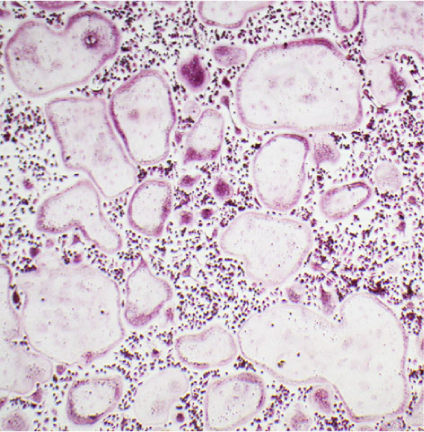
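Cultured osteoclasts appear as very large, flat, rounded to polygonal cells whose cytoplasm is pale with a darker purple rim at the cell margin. Between these giant cells lie numerous small, dark, round mononuclear cells scattered across the dish.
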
